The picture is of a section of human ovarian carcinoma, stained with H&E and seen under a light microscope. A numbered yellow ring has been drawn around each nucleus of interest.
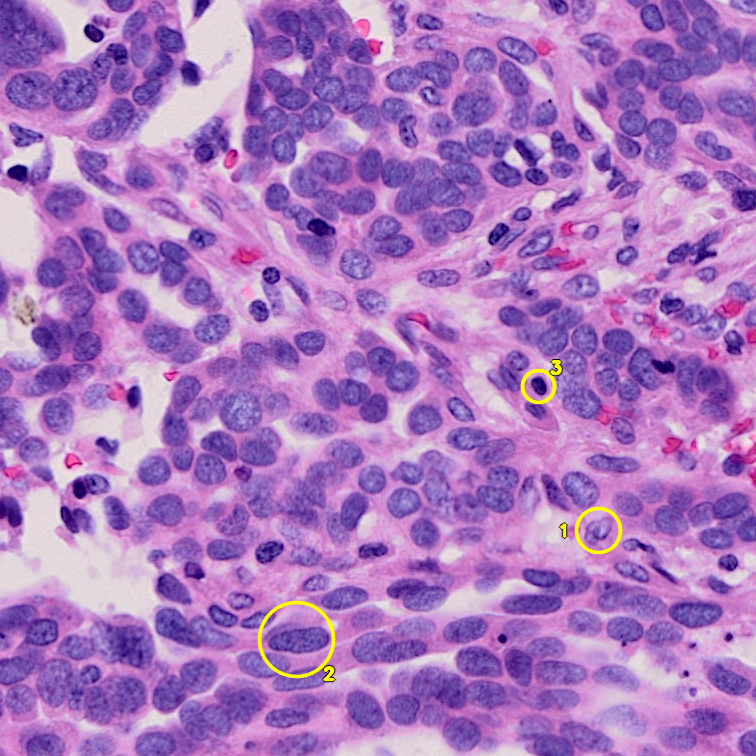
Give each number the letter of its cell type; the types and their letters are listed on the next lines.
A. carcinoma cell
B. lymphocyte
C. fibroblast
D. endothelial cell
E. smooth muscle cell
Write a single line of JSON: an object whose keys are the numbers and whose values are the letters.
{"1": "C", "2": "A", "3": "B"}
